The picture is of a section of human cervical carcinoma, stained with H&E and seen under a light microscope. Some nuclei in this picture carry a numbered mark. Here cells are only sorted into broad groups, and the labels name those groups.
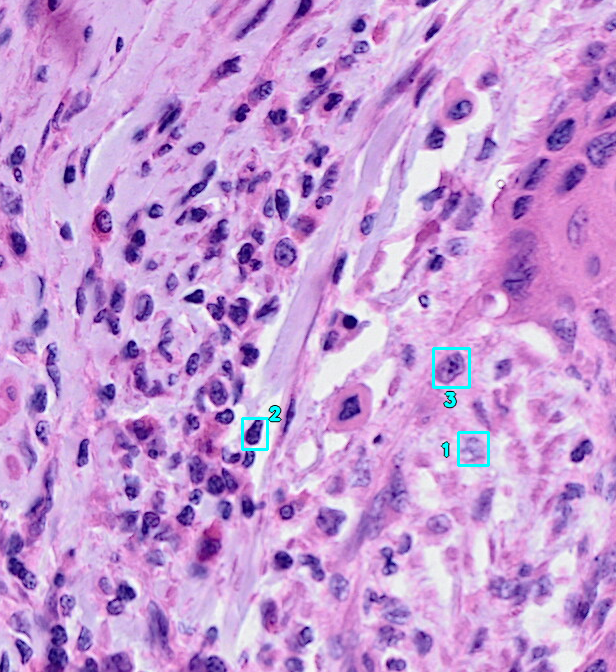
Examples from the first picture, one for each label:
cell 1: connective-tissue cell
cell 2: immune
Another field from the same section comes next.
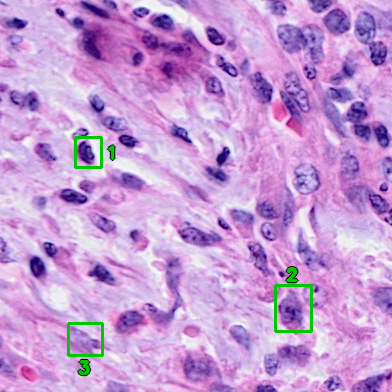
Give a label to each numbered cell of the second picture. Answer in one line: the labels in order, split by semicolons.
immune; immune; connective-tissue cell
